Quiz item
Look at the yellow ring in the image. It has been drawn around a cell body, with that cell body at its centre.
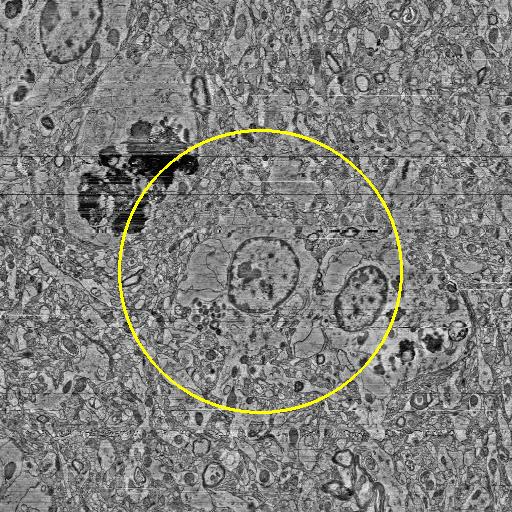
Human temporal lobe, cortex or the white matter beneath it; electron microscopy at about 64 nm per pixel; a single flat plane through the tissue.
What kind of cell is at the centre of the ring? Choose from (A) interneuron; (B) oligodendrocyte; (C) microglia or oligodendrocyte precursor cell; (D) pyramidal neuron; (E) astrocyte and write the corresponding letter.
E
